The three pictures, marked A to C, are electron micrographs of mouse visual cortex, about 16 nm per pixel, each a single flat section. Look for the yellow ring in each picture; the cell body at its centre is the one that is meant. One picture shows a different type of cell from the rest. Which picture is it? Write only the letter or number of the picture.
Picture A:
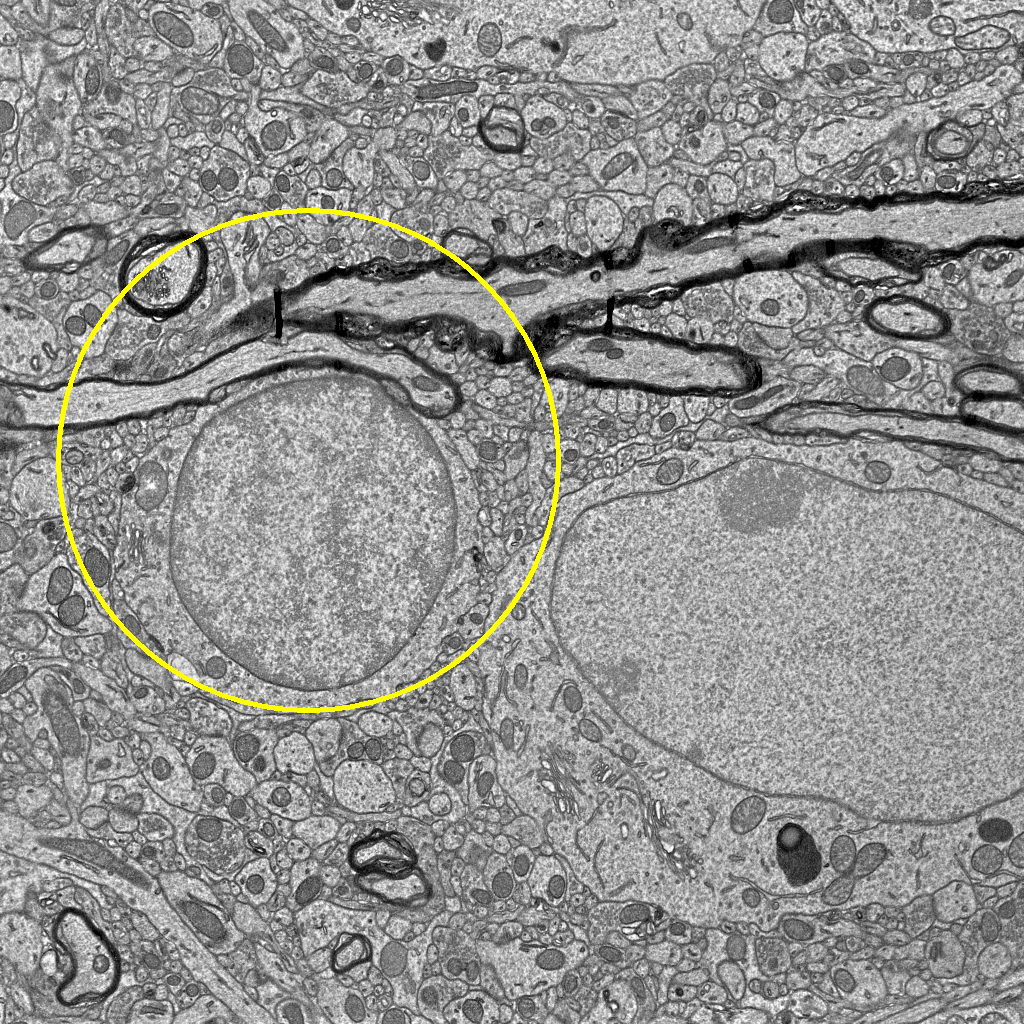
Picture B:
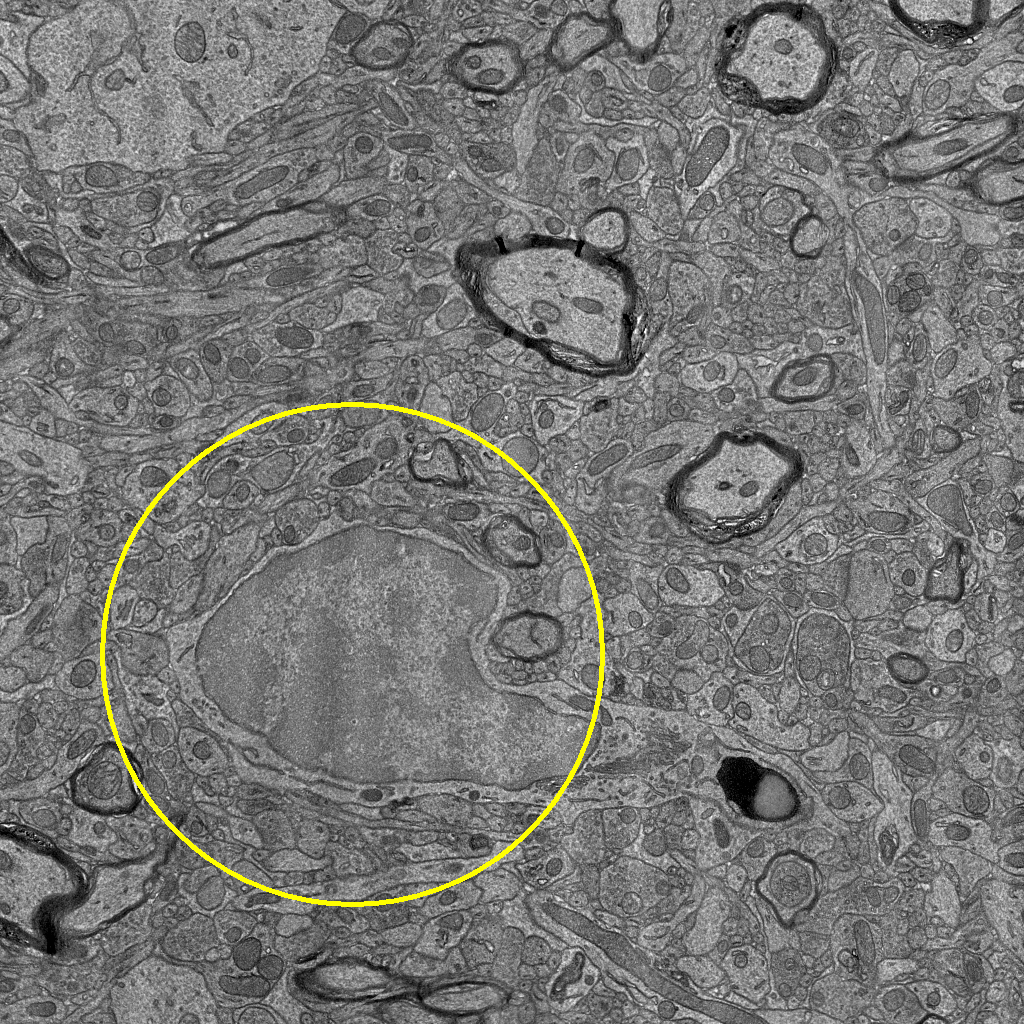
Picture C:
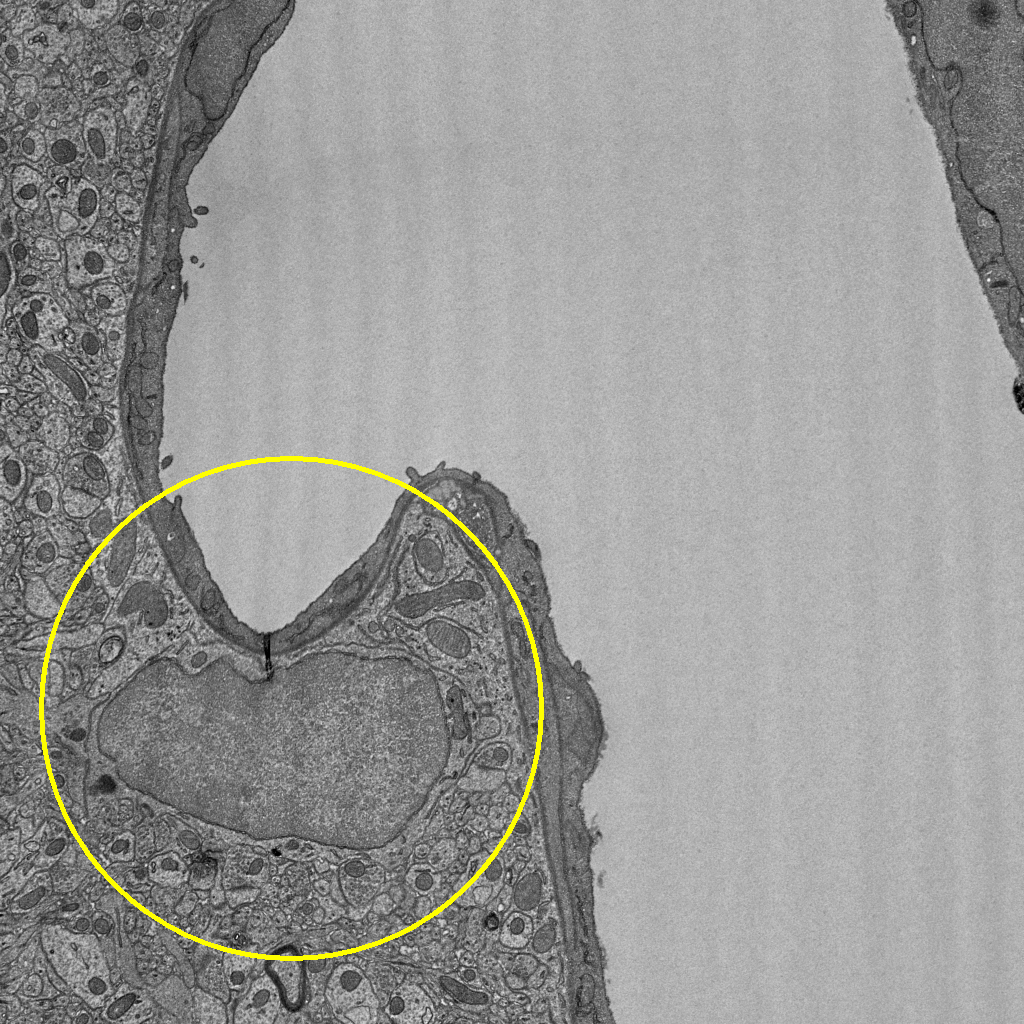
A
